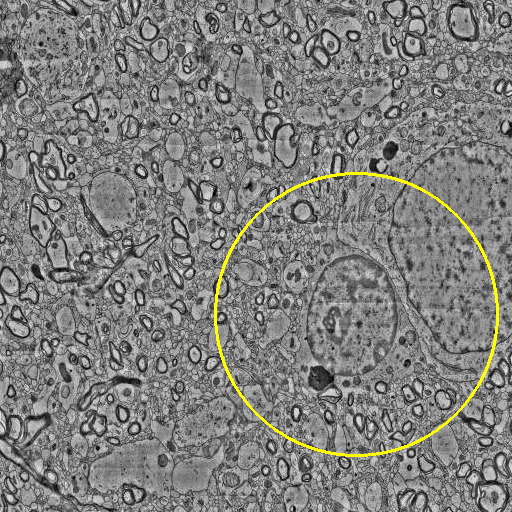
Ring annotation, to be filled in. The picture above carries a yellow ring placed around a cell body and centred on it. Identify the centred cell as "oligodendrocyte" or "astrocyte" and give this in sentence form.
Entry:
The cell in the middle of the ring is an oligodendrocyte.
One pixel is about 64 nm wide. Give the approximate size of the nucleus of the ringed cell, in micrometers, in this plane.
In this plane, the nucleus of the cell at the centre of the ring measures about 8 by 6 micrometres.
